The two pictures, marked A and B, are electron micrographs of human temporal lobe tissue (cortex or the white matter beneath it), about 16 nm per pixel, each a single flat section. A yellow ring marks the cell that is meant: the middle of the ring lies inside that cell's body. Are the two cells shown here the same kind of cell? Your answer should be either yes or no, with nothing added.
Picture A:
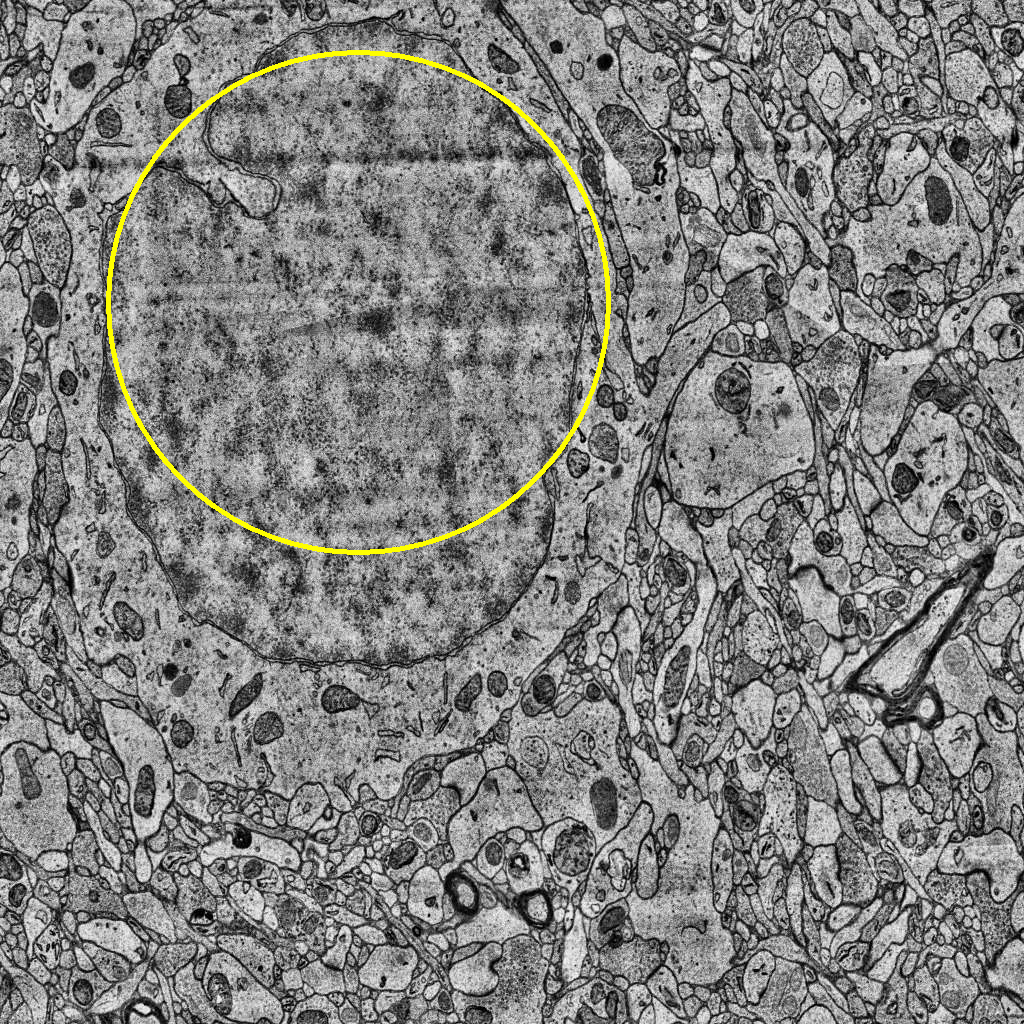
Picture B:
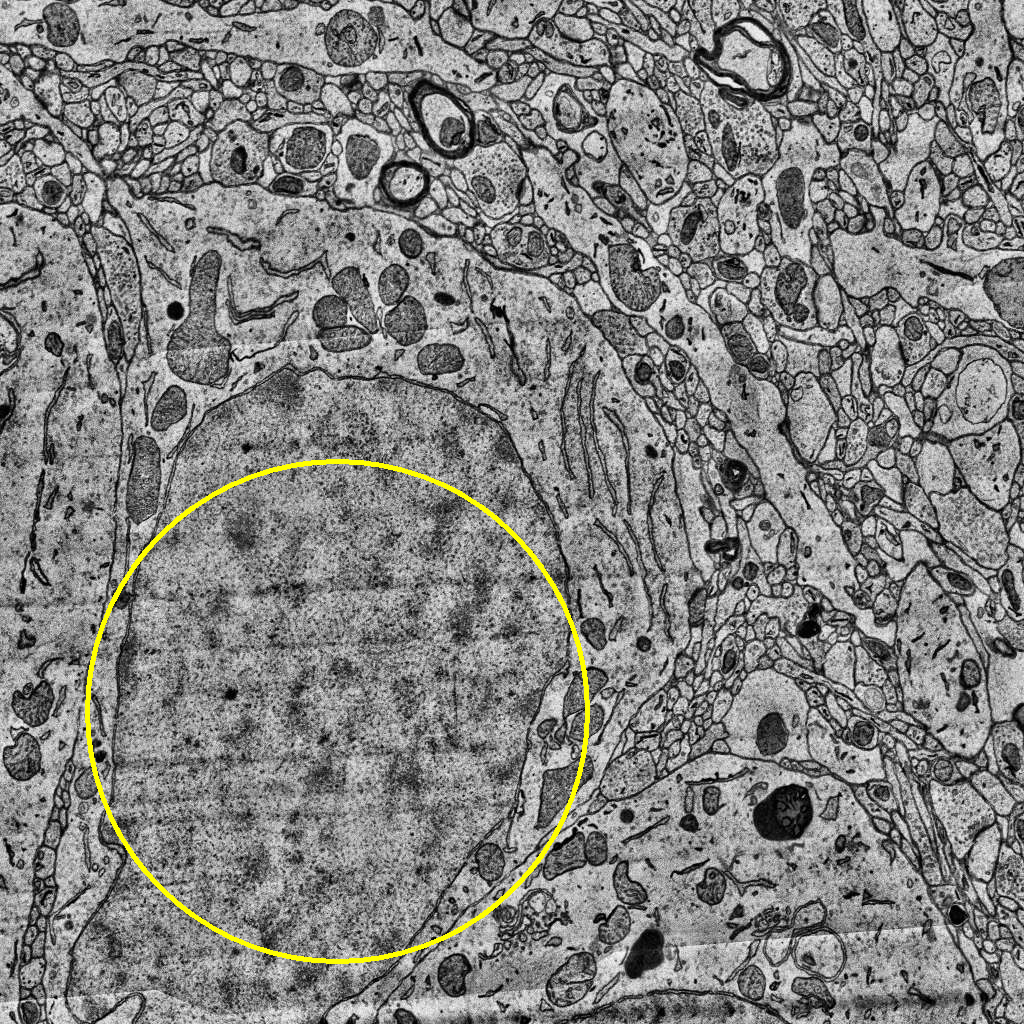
yes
